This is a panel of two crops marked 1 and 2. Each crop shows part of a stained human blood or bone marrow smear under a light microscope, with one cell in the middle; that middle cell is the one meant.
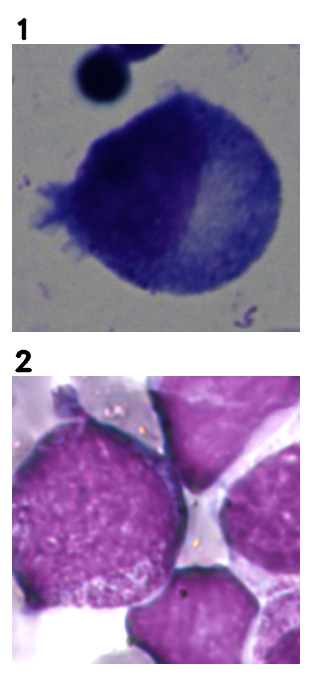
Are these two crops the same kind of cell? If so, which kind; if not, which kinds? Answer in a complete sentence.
Yes, the pair of crops both show promyelocytes.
